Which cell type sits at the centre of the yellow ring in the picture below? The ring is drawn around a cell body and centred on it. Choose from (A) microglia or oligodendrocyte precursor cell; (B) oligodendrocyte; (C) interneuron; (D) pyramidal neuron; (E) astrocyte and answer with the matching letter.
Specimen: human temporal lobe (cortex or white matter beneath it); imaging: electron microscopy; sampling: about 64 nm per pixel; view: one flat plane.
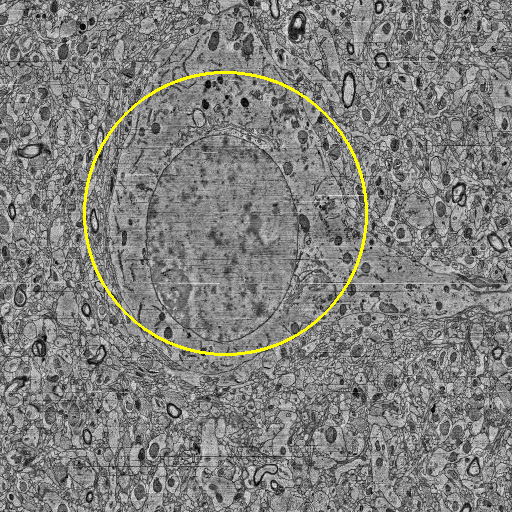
D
